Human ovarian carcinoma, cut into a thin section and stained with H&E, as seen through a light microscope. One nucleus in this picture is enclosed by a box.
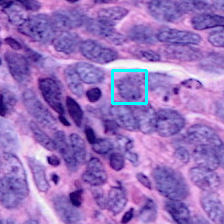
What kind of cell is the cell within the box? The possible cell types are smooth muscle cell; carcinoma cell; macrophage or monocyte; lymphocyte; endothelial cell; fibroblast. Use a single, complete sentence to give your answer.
For the purposes of cell typing, the cell within the box is categorized as a carcinoma cell.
